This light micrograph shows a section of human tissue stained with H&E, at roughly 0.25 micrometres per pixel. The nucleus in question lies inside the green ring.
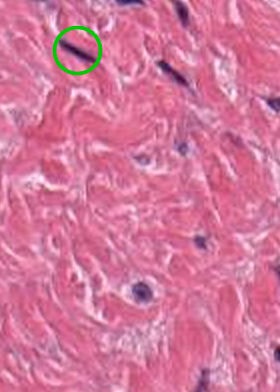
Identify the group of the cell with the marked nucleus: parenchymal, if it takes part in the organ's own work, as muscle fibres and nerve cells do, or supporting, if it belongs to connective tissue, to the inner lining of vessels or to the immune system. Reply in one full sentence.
The indicated nucleus in this section belongs to a supporting cell.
